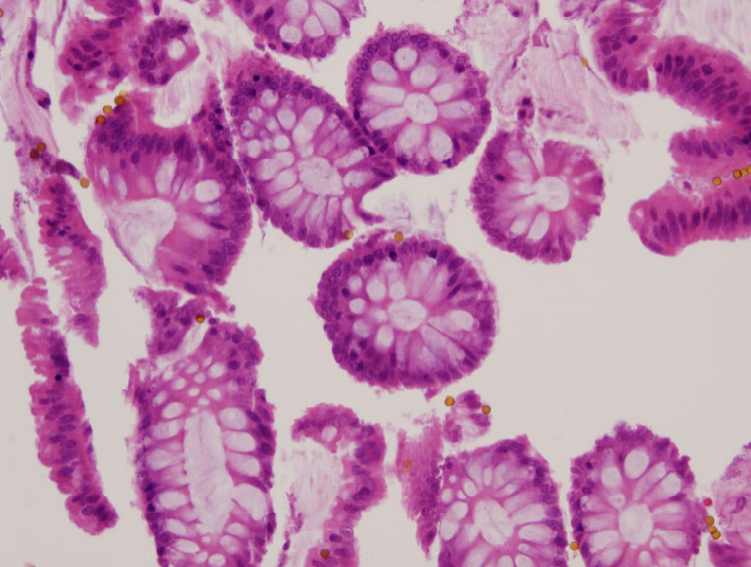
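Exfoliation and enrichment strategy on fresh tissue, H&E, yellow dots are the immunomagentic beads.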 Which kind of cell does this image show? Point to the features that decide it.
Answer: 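Colonic epithelial cells. Tall columnar cells with dark oval nuclei line up side by side in a single layer. Cells form round rosettes around a small central lumen, like crypts cut across. Many cells hold large pale, round vacuoles in their cytoplasm.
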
